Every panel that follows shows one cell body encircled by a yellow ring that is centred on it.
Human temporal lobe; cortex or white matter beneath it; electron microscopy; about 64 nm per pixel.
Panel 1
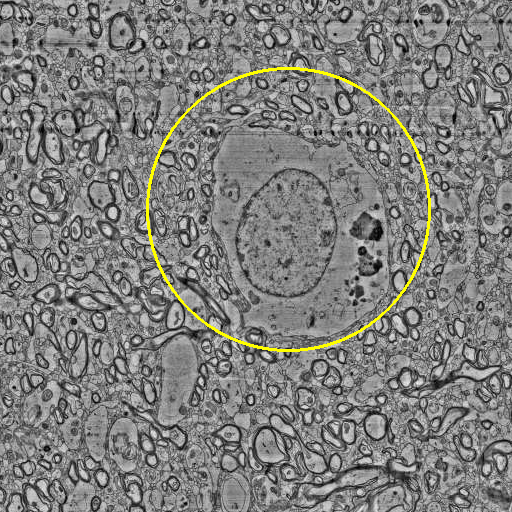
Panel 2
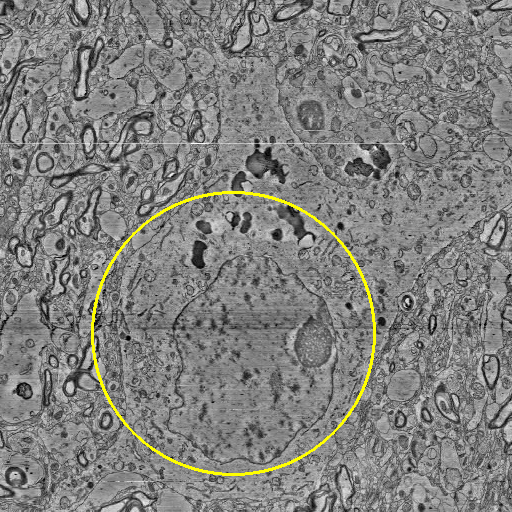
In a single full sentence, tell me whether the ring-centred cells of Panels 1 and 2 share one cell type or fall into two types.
In Panel 1 and Panel 2, the cells at the ring centres fall into two types.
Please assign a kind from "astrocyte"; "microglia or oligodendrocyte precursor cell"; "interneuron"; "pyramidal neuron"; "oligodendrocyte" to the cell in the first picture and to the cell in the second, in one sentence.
In the first picture we have an astrocyte, and in the second, a pyramidal neuron.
